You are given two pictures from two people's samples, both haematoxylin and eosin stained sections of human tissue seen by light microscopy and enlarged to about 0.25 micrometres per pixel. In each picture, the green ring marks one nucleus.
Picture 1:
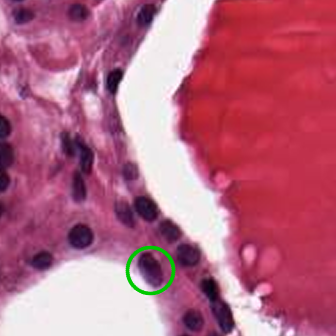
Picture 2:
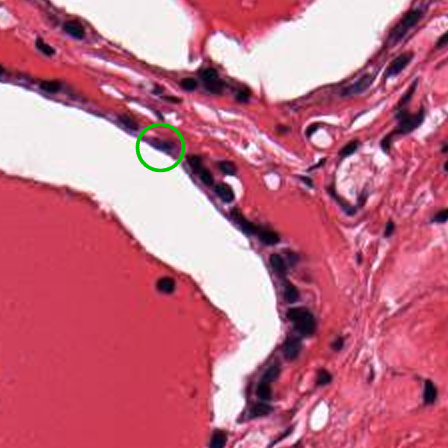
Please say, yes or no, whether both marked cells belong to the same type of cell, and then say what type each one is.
Yes, both are thyroid follicular cells.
